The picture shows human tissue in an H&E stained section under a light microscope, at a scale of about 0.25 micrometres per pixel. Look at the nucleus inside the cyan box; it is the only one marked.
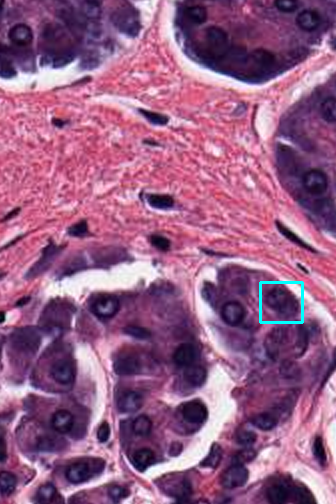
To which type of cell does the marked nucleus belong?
pancreatic acinar cell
